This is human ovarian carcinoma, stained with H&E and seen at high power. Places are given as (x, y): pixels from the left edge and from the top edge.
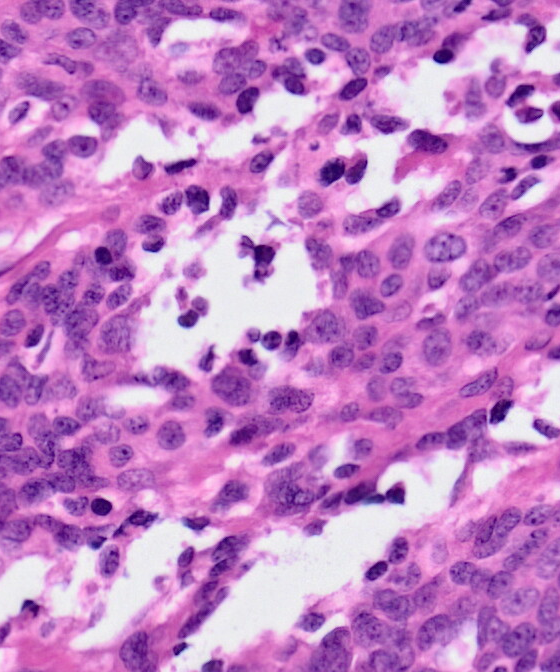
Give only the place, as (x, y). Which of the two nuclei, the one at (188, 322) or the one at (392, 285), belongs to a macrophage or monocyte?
(392, 285)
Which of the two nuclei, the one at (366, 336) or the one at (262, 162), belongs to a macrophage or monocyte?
(262, 162)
